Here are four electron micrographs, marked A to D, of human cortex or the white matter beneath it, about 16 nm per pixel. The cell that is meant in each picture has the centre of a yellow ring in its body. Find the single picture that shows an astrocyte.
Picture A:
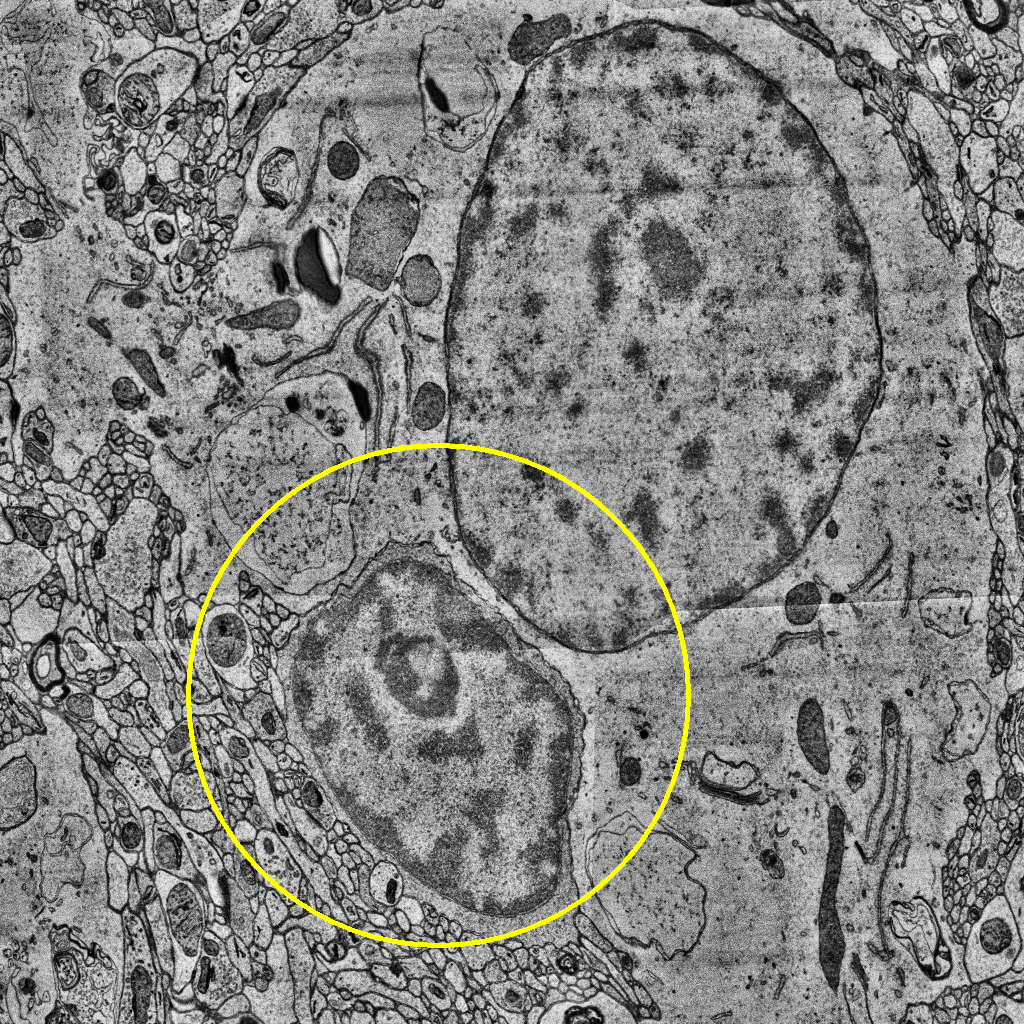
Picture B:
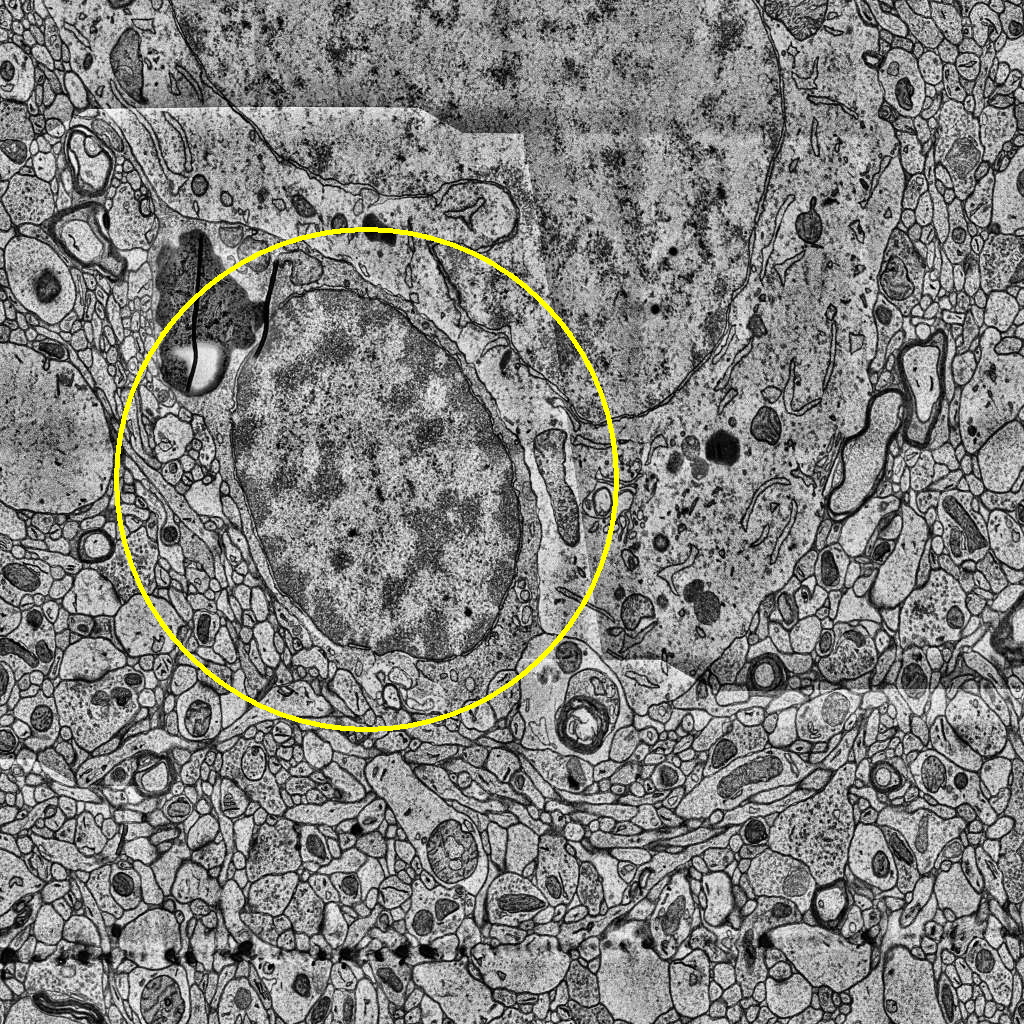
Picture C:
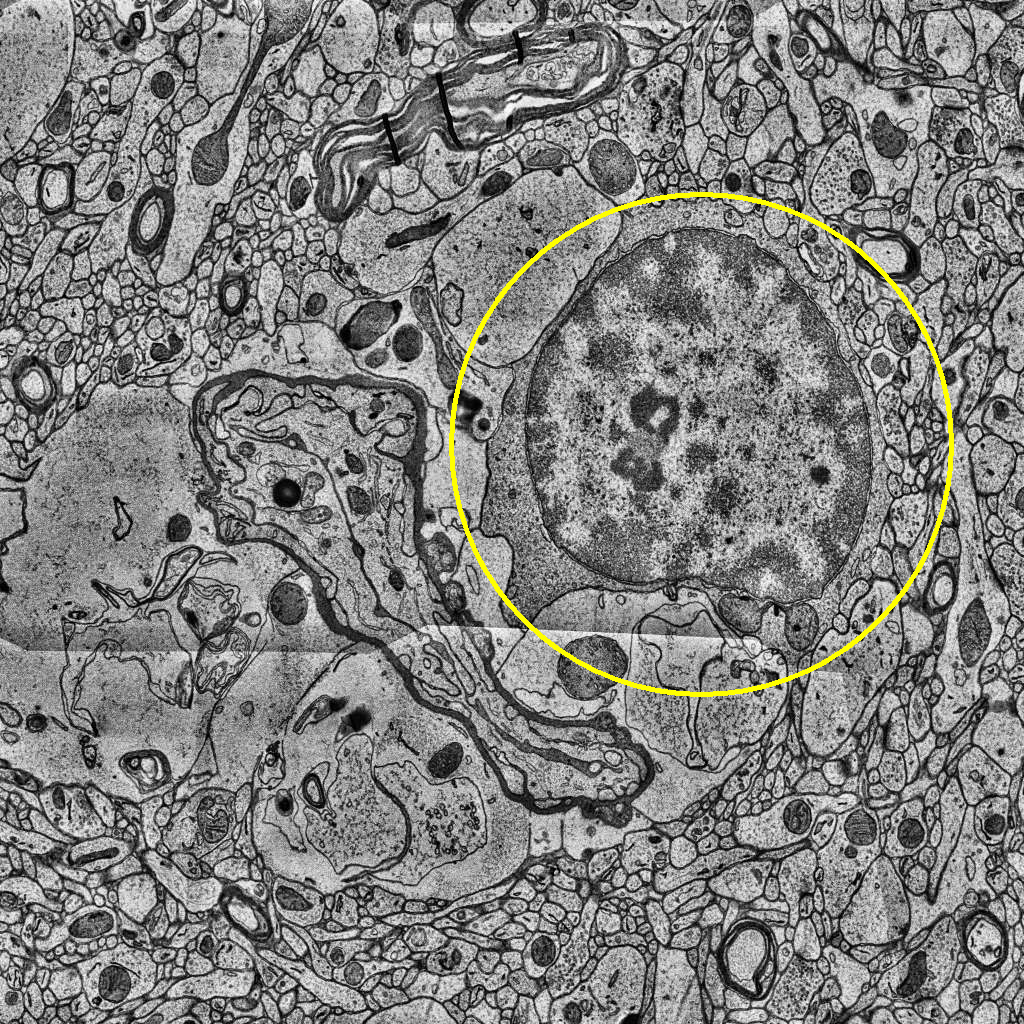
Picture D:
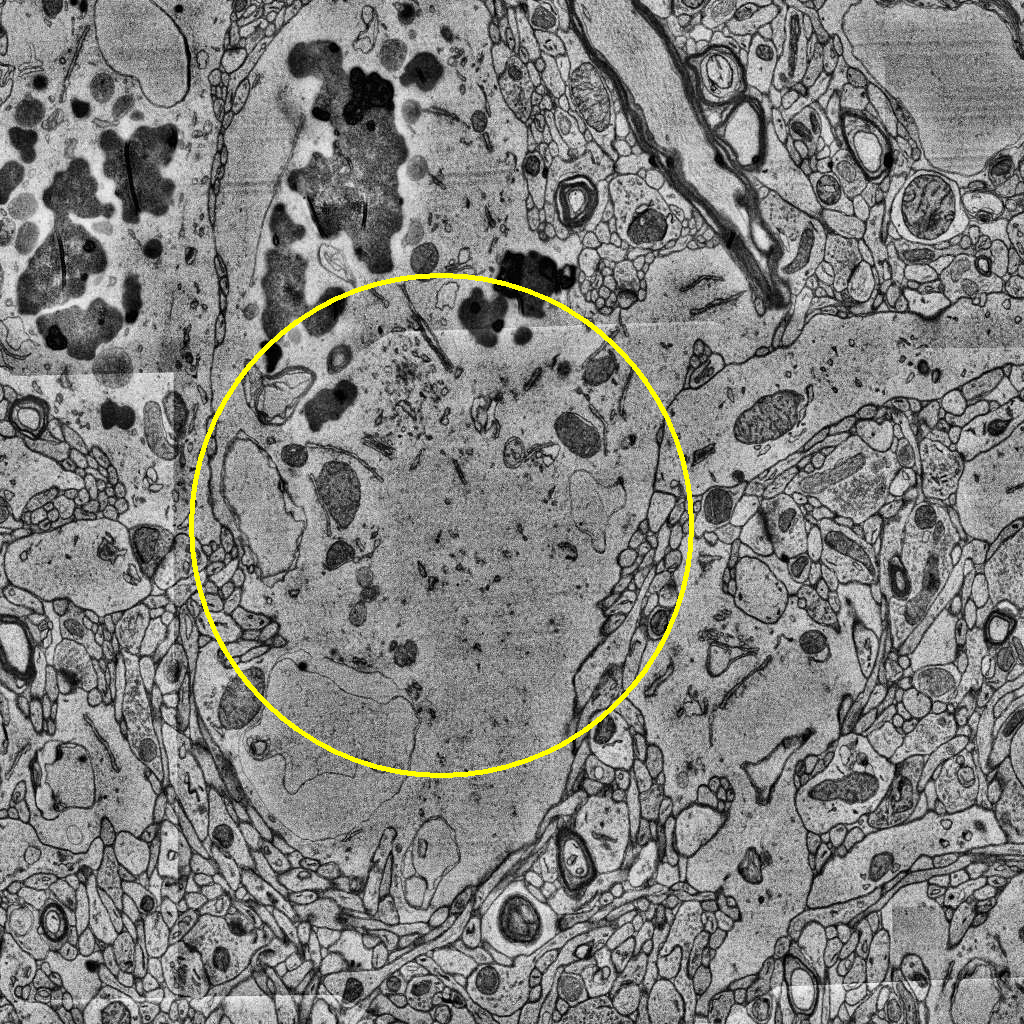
Picture D is the one that shows the astrocyte.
